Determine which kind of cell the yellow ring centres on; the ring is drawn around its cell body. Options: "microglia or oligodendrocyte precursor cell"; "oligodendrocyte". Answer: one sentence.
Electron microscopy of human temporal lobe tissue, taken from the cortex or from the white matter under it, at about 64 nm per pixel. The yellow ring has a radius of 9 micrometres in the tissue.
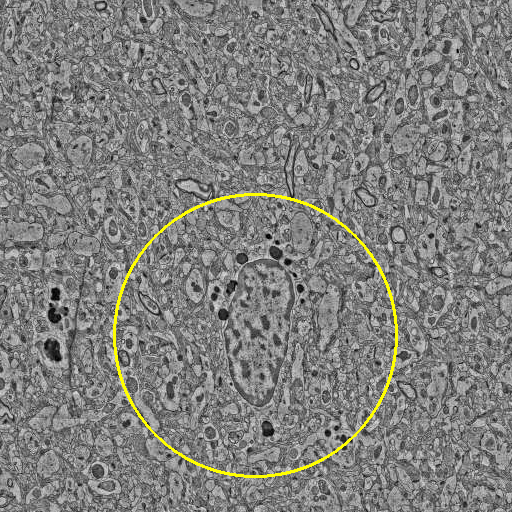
The ring centres on a microglial cell or oligodendrocyte precursor cell.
